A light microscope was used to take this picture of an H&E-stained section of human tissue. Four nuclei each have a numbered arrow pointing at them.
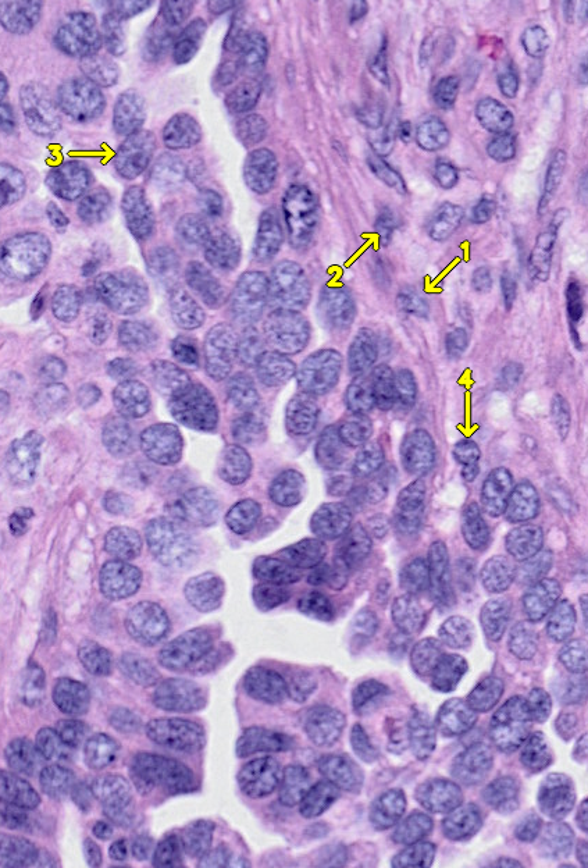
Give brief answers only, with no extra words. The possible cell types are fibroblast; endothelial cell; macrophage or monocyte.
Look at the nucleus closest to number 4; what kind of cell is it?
macrophage or monocyte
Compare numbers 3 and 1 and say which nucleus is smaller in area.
1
